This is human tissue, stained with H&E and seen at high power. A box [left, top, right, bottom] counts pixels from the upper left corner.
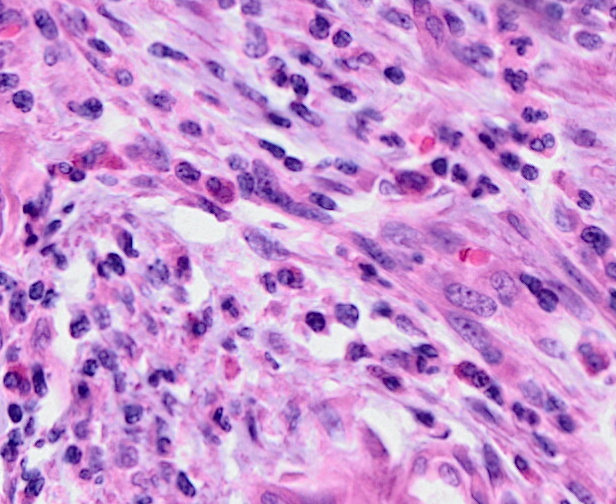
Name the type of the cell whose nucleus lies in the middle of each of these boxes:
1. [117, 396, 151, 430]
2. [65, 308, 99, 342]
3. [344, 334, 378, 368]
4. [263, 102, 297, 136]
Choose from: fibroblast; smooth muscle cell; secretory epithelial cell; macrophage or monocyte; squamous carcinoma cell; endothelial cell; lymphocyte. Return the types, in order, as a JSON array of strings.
["lymphocyte", "lymphocyte", "macrophage or monocyte", "lymphocyte"]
